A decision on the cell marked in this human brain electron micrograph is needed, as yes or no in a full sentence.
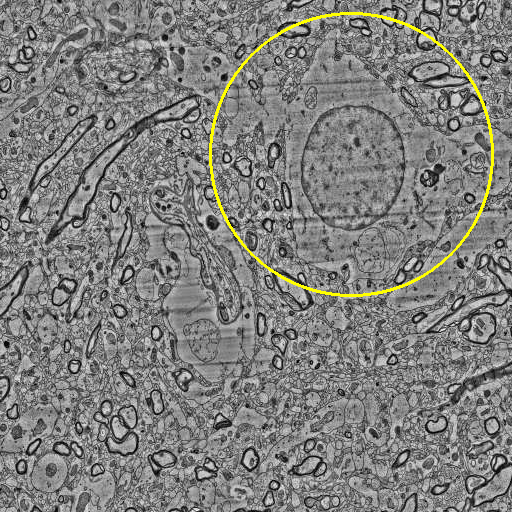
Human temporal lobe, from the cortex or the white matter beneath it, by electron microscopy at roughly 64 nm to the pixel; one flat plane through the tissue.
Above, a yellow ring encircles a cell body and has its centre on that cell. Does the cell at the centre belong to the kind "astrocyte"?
Yes, the kind given fits the cell at the centre of the ring in the picture.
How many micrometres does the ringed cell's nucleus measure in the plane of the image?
In this plane, roughly 8 by 7 micrometres.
